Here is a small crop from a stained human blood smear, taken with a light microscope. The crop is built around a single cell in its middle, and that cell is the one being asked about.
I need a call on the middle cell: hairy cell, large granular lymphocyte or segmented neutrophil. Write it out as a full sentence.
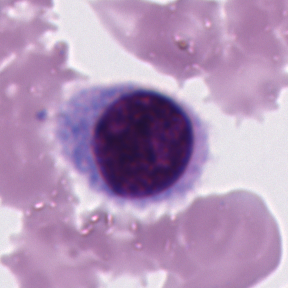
This crop's central cell is a hairy cell.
